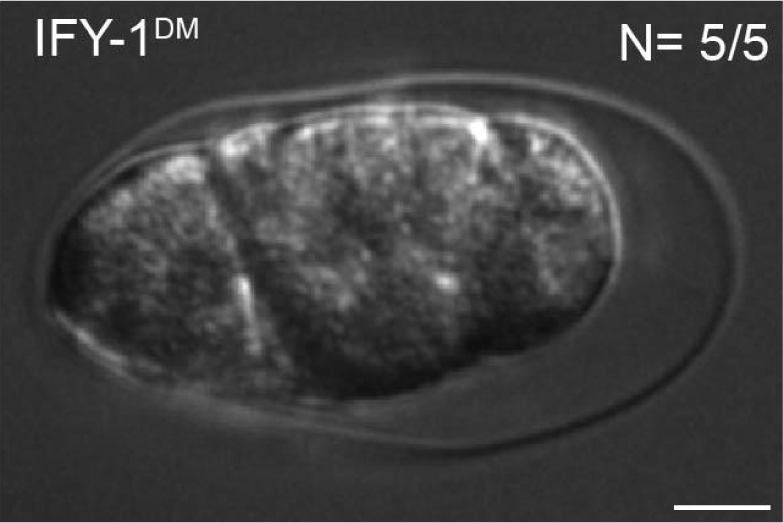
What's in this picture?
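This is a worm embryo inside its oval eggshell, seen by differential interference contrast. The embryo itself has shrunk so that a wide clear space separates it from the shell, especially at one end. The shell keeps its smooth oval outline while the embryo inside has pulled away from it.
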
